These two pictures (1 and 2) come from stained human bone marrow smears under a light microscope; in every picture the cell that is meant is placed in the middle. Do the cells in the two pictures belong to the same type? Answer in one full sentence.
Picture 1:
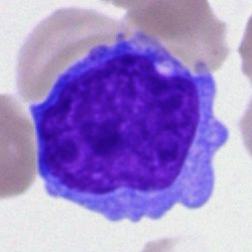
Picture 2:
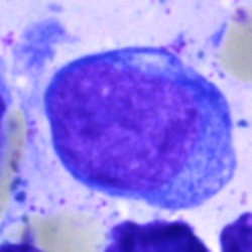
Yes, the two pictures both show blasts.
